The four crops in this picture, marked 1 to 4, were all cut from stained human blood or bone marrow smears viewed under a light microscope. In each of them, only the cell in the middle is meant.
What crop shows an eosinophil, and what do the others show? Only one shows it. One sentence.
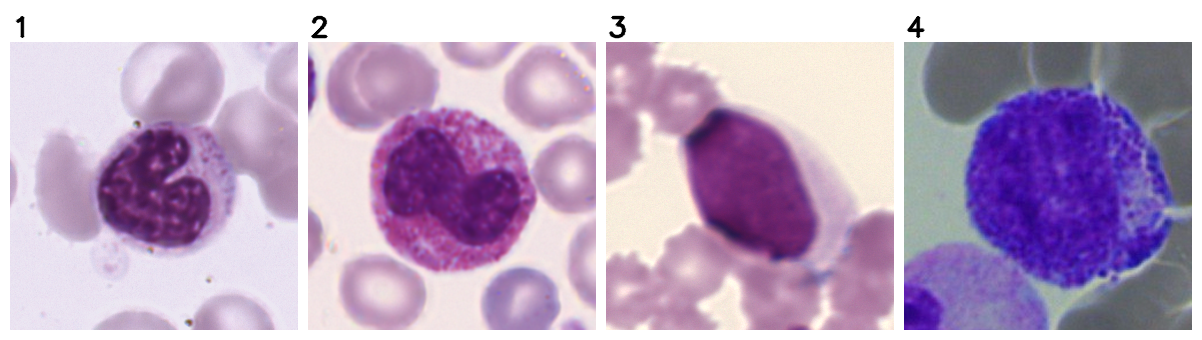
The cell occupying crop 2 is an eosinophil, whereas crop 1 is a band neutrophil, crop 3 is a blast and crop 4 is a myelocyte.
